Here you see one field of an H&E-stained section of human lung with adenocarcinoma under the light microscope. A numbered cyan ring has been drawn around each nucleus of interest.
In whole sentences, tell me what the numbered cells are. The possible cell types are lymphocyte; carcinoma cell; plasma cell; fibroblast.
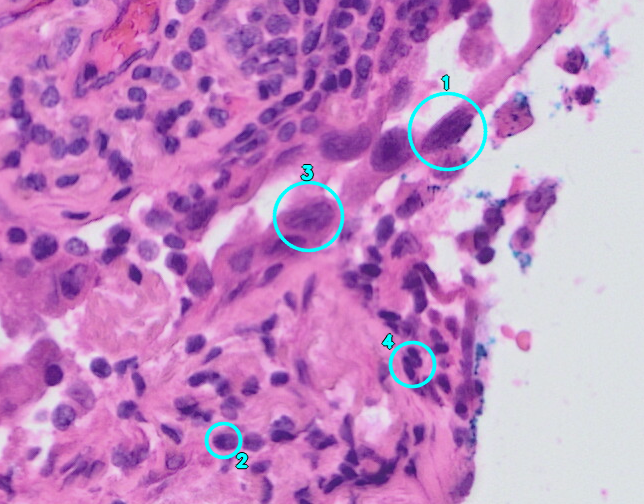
Cells 1 and 3 are carcinoma cells. Cells 2 and 4 are lymphocytes.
